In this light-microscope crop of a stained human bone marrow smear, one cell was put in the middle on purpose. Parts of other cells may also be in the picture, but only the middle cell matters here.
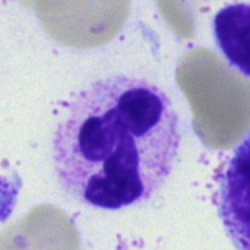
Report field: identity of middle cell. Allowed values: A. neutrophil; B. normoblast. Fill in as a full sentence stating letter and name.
That the central cell is a neutrophil makes option A correct.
